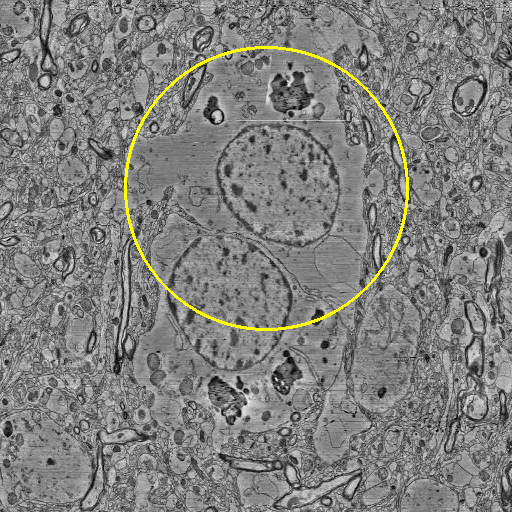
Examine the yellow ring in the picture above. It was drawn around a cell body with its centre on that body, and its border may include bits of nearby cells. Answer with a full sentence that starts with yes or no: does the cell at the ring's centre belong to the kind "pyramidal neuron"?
No, the cell at the heart of the ring shown in the image is a different kind of cell.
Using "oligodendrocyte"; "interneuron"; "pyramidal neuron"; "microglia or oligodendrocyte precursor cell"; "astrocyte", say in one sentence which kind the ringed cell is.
In this picture, the ring is centred on an astrocyte.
